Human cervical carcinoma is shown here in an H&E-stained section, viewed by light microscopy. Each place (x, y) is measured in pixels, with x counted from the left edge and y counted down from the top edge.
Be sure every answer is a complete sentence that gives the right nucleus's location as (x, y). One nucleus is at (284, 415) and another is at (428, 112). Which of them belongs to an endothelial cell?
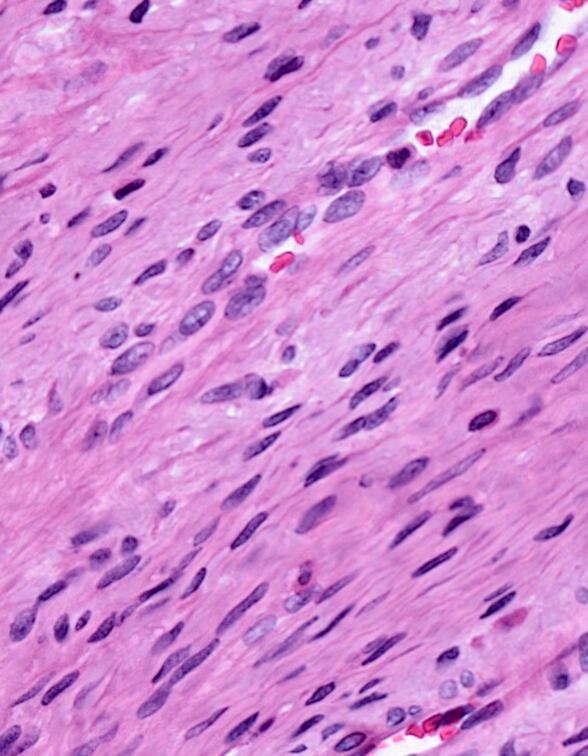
Here the nucleus at (428, 112) is the one that belongs to an endothelial cell.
